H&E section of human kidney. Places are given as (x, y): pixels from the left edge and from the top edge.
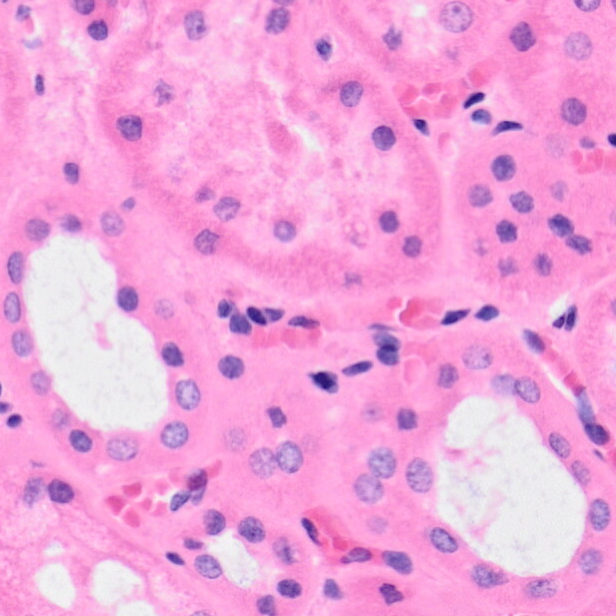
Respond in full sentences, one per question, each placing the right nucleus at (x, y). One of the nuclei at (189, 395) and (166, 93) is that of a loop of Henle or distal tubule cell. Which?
Among the two, the nucleus at (189, 395) is the nucleus of a loop of Henle or distal tubule cell.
